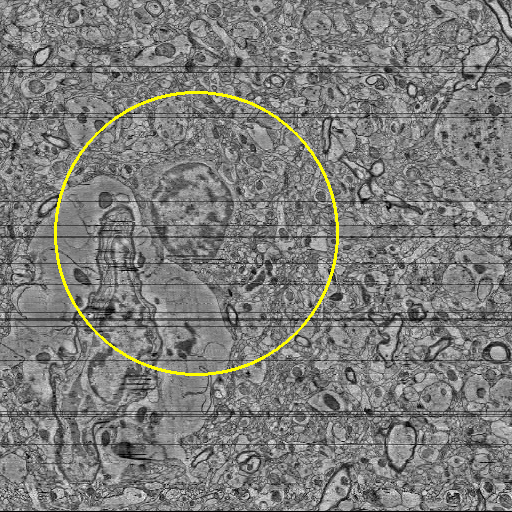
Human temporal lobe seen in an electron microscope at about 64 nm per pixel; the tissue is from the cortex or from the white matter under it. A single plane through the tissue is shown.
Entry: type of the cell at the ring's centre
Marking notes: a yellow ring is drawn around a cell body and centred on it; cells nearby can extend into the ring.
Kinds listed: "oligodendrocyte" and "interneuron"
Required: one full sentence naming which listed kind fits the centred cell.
My entry names an oligodendrocyte as the cell whose body the yellow ring centres on.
